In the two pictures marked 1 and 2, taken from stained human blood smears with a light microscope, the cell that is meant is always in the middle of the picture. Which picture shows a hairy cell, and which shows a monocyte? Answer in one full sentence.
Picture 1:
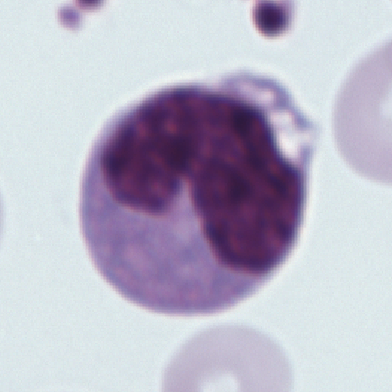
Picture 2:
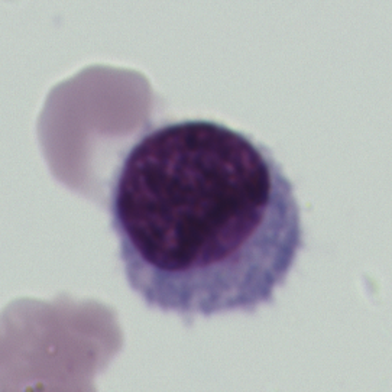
In picture 1 the cell is a monocyte; in picture 2, a hairy cell.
